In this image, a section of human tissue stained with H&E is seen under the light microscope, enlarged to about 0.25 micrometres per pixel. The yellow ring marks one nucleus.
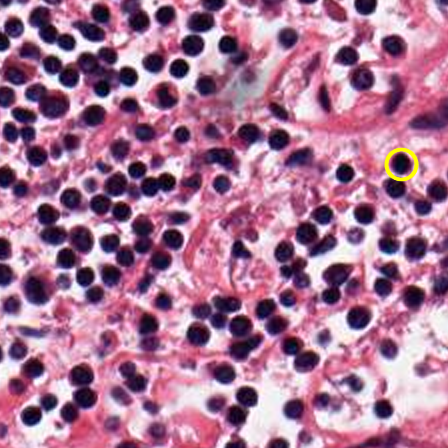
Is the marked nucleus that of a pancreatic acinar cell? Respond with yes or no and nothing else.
no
